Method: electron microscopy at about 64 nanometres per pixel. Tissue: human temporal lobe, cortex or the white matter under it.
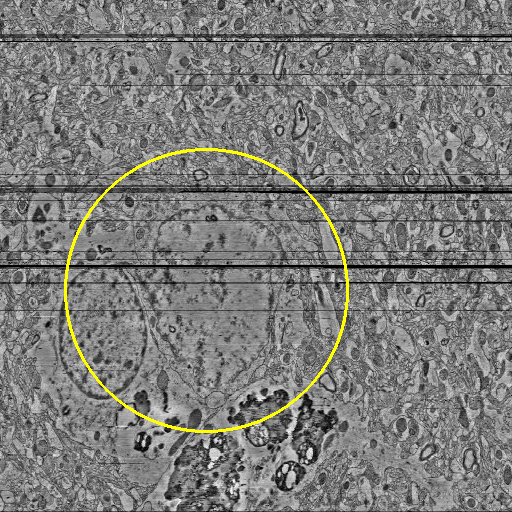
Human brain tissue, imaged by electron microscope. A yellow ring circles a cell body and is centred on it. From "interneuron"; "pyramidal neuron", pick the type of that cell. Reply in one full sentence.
The cell body at the centre of the yellow ring belongs to an interneuron.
